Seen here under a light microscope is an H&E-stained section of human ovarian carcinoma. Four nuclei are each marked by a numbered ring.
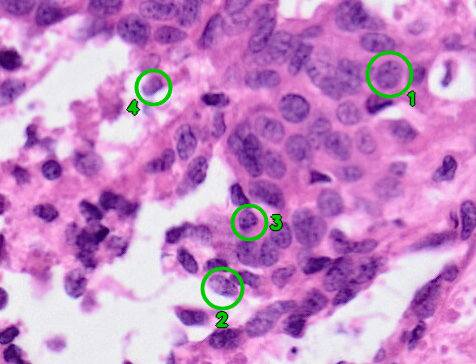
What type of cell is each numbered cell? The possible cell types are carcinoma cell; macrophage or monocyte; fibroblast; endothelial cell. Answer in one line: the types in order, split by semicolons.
carcinoma cell; carcinoma cell; macrophage or monocyte; carcinoma cell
